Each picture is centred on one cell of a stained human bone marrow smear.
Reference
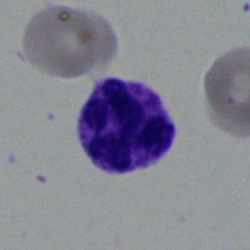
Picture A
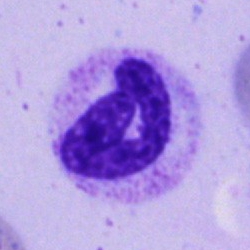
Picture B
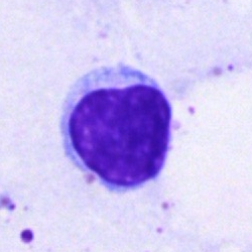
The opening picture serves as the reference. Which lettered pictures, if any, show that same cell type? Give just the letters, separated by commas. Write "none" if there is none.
A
